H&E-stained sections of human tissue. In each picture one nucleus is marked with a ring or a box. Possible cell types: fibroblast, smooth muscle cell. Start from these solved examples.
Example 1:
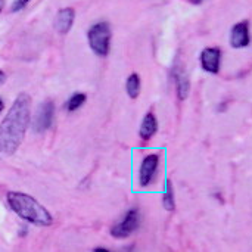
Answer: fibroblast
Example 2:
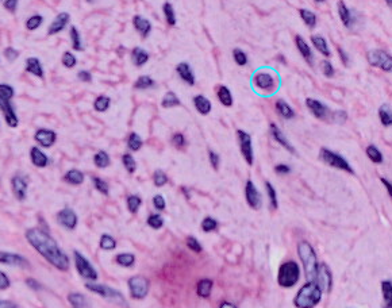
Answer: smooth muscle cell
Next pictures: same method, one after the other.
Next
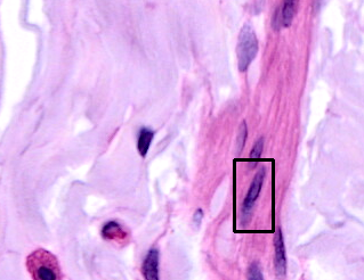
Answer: smooth muscle cell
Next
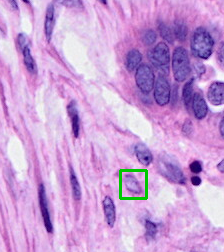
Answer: fibroblast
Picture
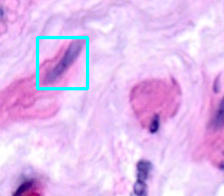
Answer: smooth muscle cell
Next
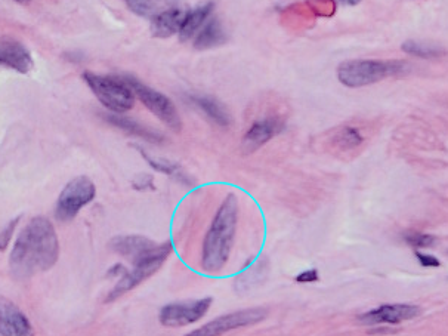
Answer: smooth muscle cell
